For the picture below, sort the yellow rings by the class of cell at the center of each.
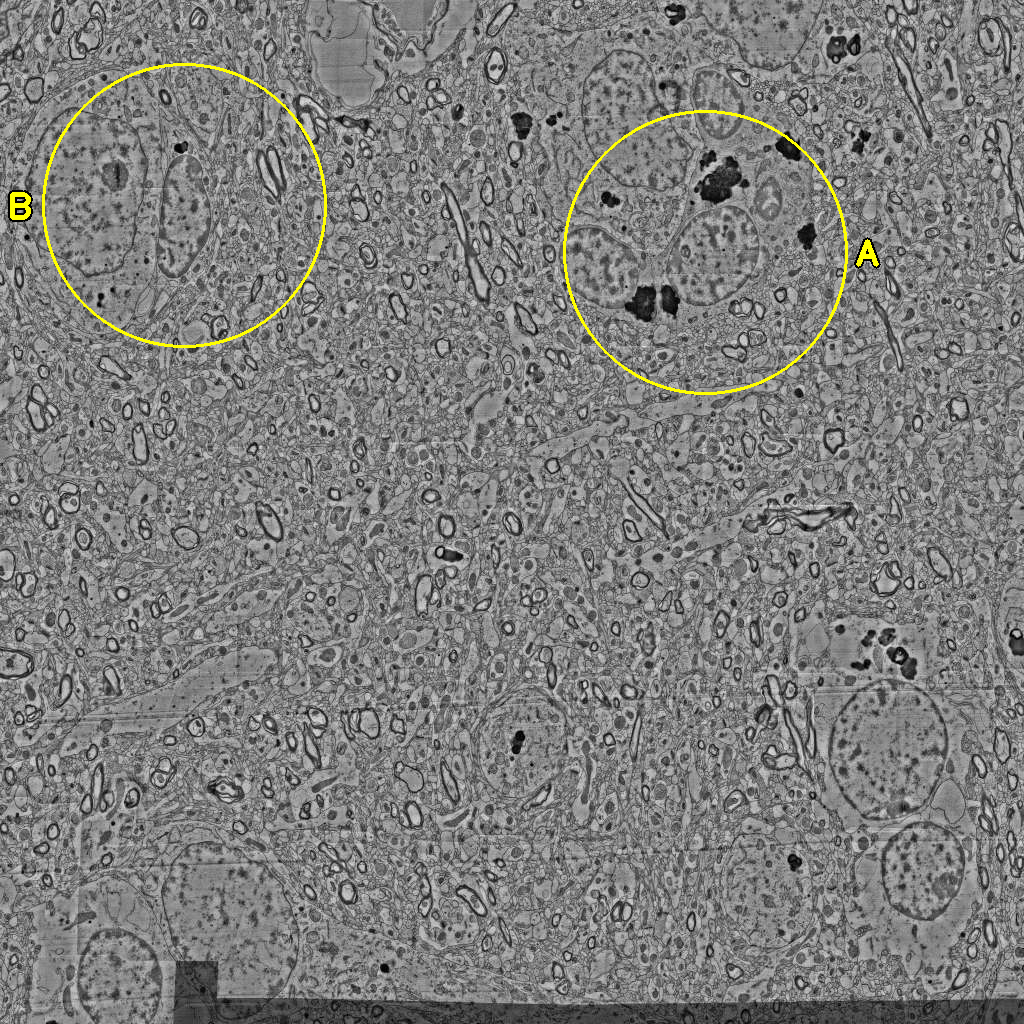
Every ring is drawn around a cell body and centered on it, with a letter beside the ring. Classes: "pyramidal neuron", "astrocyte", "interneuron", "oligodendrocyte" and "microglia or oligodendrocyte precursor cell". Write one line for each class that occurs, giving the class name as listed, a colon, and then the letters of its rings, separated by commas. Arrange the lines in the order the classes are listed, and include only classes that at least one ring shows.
oligodendrocyte: A
microglia or oligodendrocyte precursor cell: B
